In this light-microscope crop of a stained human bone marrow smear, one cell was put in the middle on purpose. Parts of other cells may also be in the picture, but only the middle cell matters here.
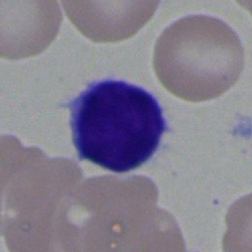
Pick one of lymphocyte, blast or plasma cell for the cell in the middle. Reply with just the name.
lymphocyte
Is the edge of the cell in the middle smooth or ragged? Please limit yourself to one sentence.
An irregular outline, ragged or marked by projections, surrounds this cell.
